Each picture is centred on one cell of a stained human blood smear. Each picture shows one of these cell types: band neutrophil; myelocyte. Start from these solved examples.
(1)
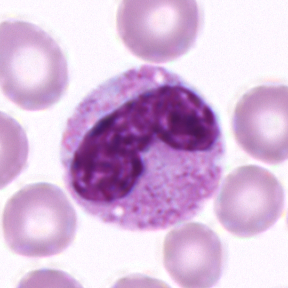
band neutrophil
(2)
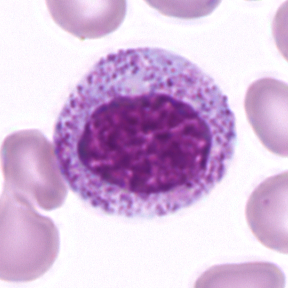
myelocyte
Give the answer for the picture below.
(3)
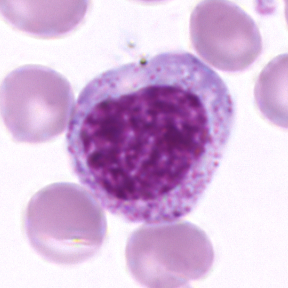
myelocyte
